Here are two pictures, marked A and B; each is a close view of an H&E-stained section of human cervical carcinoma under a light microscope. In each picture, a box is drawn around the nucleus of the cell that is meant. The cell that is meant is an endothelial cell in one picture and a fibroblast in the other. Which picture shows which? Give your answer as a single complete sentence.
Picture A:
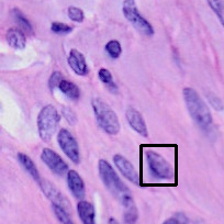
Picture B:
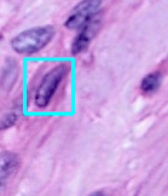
Picture A is of a fibroblast, and picture B is of an endothelial cell.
